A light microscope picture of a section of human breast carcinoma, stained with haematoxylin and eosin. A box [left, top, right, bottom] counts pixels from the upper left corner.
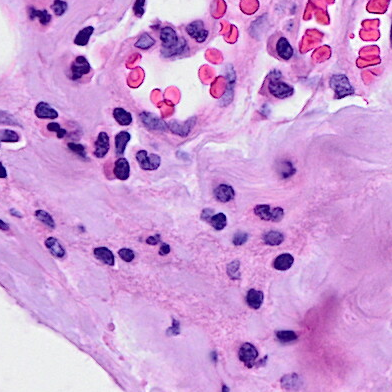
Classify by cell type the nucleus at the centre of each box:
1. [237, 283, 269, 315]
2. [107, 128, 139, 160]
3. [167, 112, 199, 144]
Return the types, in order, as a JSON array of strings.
["lymphocyte", "lymphocyte", "endothelial cell"]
